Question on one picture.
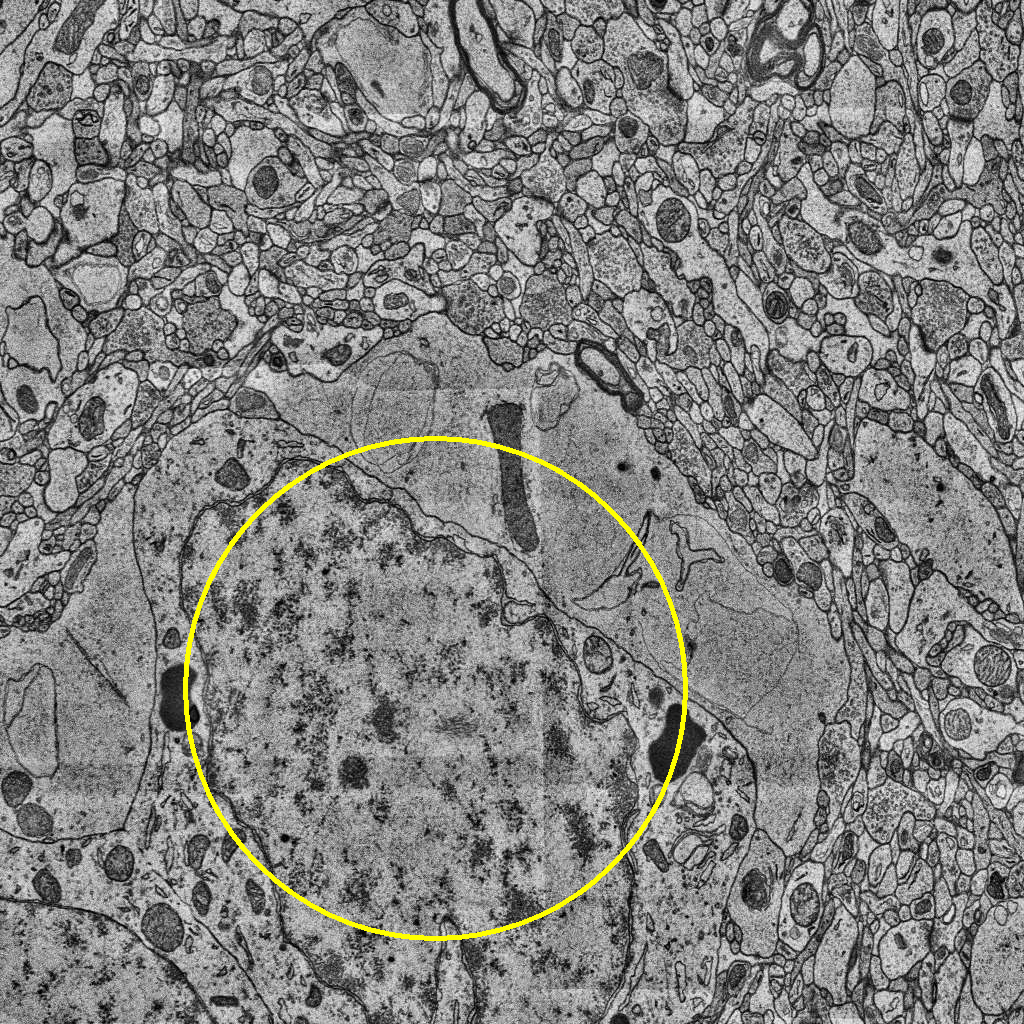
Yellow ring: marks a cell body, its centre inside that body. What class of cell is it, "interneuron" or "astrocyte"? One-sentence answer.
This is an interneuron, the cell at the ring's centre.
